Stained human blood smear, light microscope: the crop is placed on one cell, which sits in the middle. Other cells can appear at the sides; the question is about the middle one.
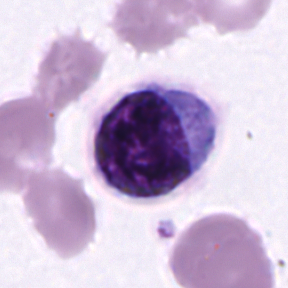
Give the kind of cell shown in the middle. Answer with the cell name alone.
plasma cell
